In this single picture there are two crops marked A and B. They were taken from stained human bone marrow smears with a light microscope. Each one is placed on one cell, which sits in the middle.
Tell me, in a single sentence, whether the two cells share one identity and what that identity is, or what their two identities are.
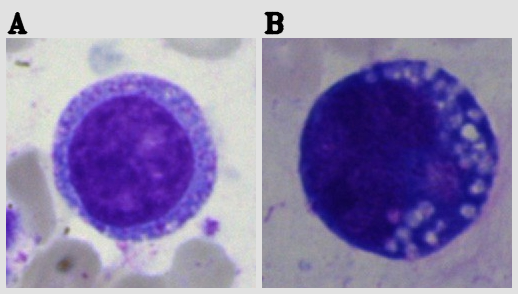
Yes, both crops here show blasts, the pair of them.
